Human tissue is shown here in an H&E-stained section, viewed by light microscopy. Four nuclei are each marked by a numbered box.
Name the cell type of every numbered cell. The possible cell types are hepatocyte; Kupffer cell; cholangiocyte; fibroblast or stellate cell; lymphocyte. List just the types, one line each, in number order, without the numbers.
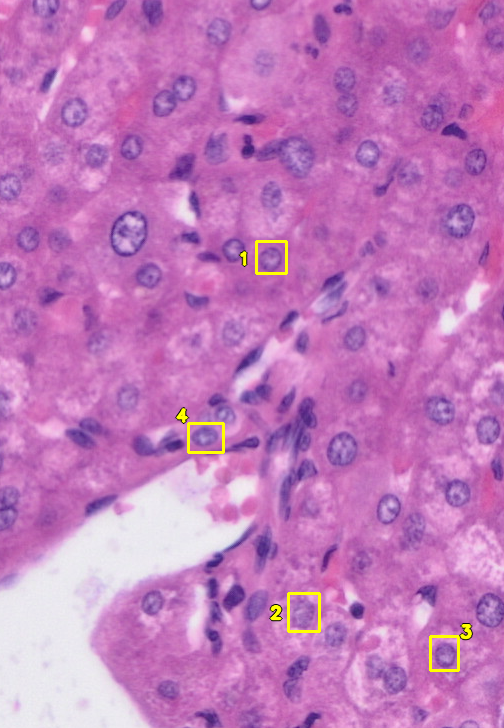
hepatocyte
hepatocyte
hepatocyte
cholangiocyte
